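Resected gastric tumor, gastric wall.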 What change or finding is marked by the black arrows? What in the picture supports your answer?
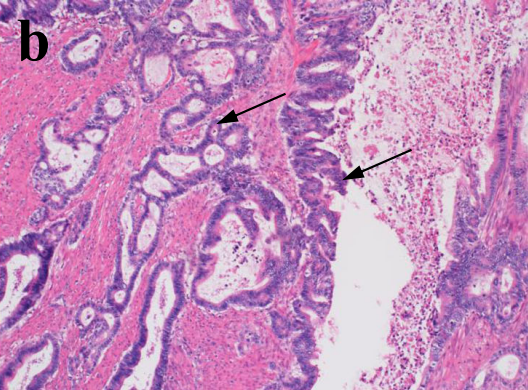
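Columnar epithelium with atypical nuclei. Tall cells line gland-like spaces in a pink stroma. Nuclei are elongated, crowded and dark purple, stacked in layers. Glands are irregular in shape and size.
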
